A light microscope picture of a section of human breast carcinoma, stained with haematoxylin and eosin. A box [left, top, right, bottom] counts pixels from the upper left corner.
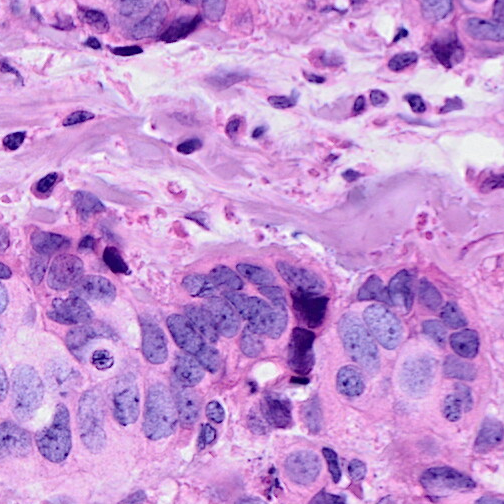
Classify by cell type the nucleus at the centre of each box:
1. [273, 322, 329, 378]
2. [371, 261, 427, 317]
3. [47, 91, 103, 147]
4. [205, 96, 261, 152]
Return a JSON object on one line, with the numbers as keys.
{"1": "carcinoma cell", "2": "carcinoma cell", "3": "mast cell", "4": "mast cell"}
